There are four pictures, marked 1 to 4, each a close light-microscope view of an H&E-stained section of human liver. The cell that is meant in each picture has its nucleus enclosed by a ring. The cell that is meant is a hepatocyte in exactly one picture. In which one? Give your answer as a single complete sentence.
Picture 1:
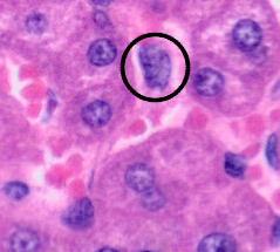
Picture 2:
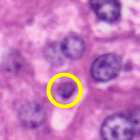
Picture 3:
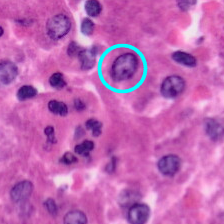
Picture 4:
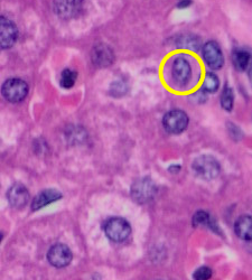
Picture 3 shows the hepatocyte.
